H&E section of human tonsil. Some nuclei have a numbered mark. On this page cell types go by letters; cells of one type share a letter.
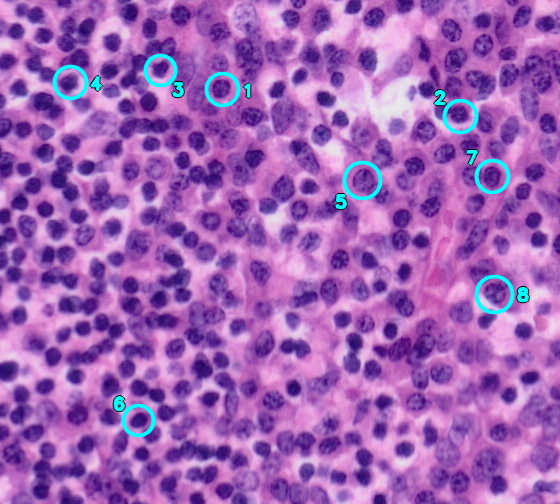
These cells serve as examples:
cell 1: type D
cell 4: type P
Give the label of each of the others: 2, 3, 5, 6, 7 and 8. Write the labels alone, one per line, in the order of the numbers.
type D
type P
type D
type P
type D
type D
